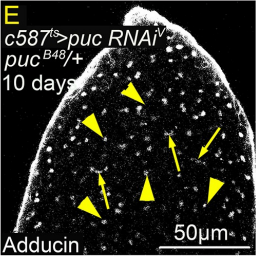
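The apical end of a testis is shown in white on black, scattered with numerous small bright dots and short elongated bits. The round dots are spectrosomes, and the thin linked or elongated structures are fusomes.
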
